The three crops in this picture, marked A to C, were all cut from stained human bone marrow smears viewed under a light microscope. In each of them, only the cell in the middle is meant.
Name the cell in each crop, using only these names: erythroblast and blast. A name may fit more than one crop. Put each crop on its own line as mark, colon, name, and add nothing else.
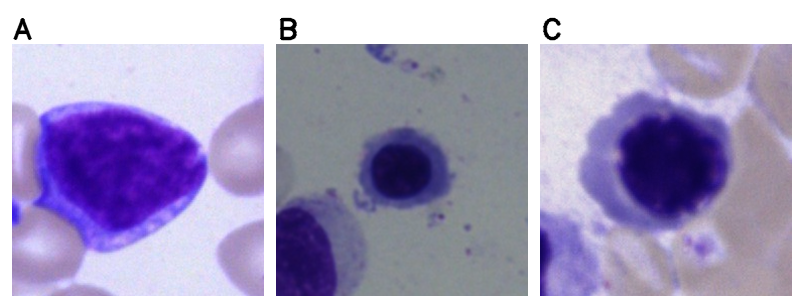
A: blast
B: erythroblast
C: erythroblast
